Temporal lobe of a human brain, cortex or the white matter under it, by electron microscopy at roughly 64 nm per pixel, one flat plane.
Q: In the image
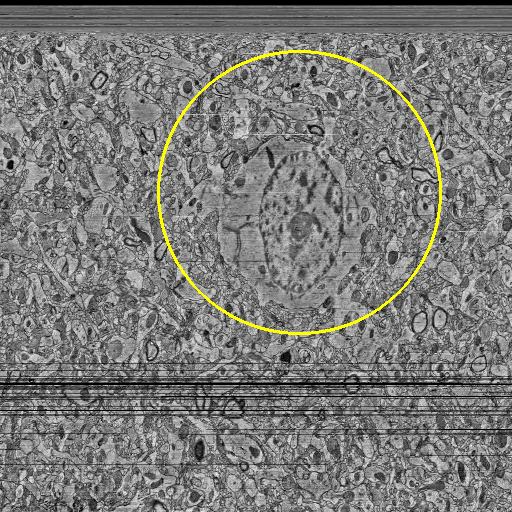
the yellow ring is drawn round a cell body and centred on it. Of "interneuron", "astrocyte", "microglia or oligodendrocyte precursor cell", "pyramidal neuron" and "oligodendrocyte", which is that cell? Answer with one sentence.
The cell centred in the ring is an astrocyte.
